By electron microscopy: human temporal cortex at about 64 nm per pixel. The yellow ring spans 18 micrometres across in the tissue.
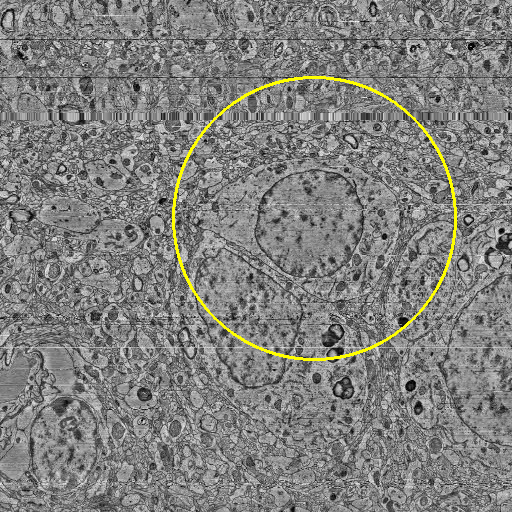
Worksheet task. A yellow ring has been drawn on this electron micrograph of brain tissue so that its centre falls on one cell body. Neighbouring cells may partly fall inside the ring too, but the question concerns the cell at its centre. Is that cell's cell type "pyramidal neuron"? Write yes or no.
yes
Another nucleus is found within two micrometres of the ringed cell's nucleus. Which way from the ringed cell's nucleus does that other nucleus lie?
The other nucleus sits to the lower left of it.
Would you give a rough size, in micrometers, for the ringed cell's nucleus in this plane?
The nucleus comes to roughly 7 micrometres across in this plane.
